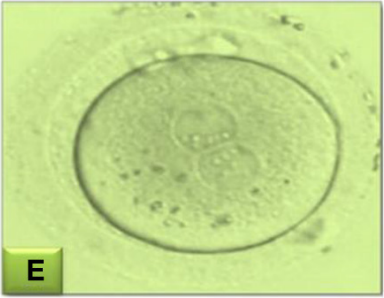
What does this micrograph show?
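This is a fertilized oocyte that shows two pronuclei. Near the center, two round pronuclei lie next to each other, and each contains small dot-like inclusions. A clear, thick zona pellucida encloses the cell. Small particles and debris are scattered outside the zona.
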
